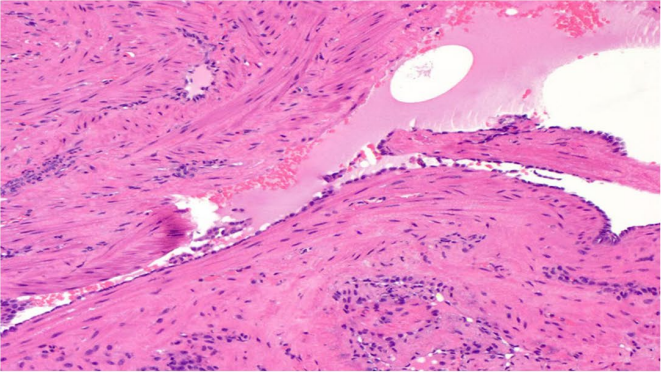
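Cyst wall with a single layer of lining cells of cuboidal to columnar form facing a lumen. The lumen holds pale pink homogeneous fluid with scattered red blood cells and a clear bubble. Beneath the lining lies a dense pink stroma of spindle cells with elongated nuclei arranged in interlacing bundles. A few small vessel-like spaces lie within the stroma.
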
